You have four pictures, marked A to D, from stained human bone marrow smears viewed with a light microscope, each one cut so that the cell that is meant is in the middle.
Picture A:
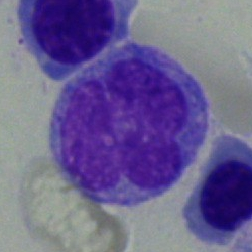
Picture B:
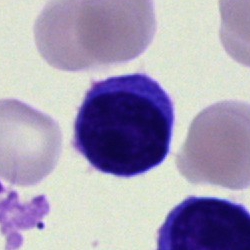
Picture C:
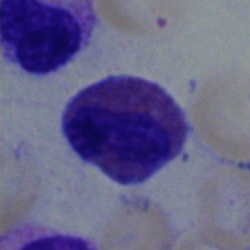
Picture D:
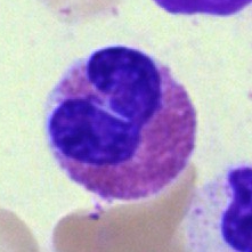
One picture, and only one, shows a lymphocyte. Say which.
B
